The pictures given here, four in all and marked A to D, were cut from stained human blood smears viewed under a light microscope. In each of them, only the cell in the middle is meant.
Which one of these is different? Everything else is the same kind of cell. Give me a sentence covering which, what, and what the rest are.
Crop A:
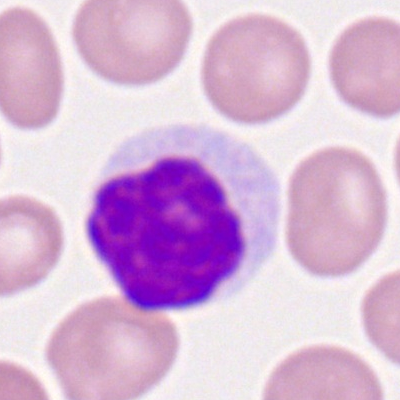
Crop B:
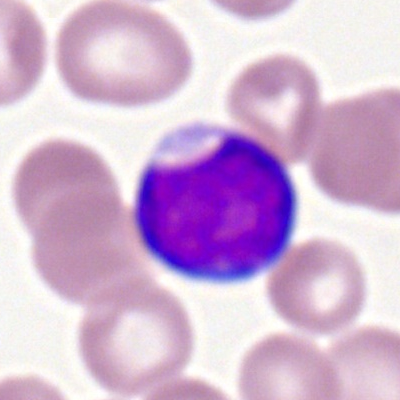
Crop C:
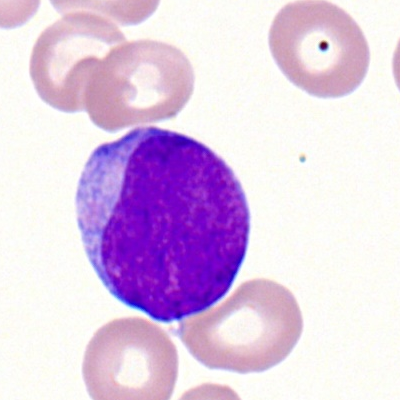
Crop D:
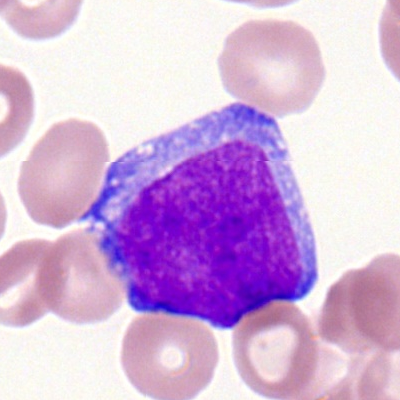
Crop A shows a lymphocyte; by contrast, all the other crops show myeloblasts.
